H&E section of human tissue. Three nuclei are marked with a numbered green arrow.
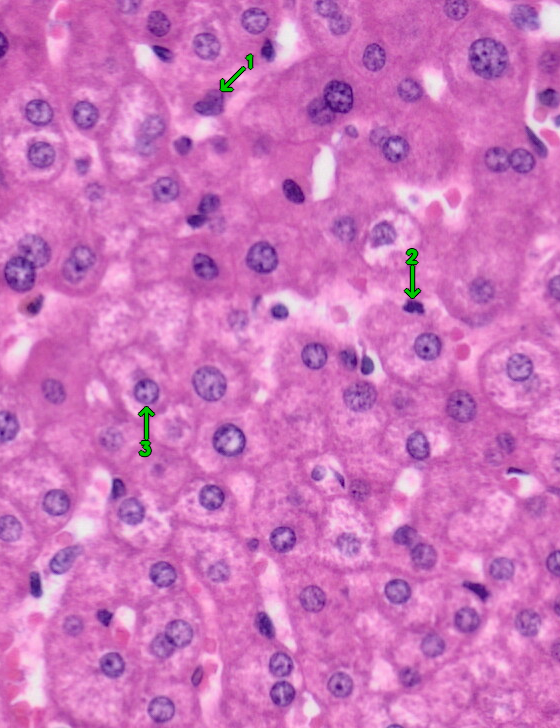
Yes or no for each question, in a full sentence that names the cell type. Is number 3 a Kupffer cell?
No, cell 3 isn't a Kupffer cell; it's a hepatocyte.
